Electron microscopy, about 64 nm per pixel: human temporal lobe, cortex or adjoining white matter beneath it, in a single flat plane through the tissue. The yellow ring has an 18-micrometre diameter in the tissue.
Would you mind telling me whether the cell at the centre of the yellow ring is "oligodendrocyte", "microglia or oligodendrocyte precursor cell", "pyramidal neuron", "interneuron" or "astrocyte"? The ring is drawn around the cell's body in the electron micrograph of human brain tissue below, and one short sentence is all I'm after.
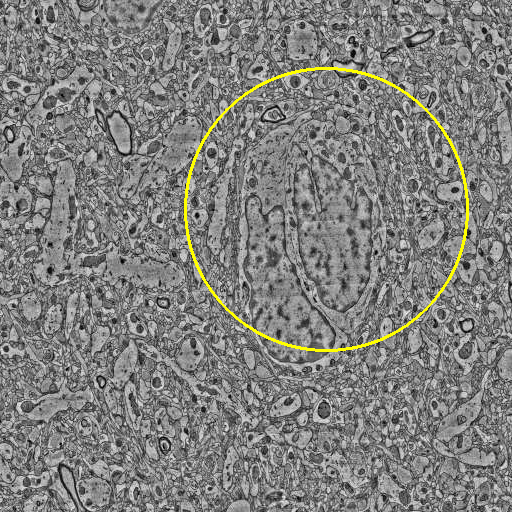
In the centre of the ring lies an interneuron.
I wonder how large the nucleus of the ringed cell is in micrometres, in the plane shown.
In this plane, approximately 10 by 5 micrometers, and clearly longer than it is wide.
